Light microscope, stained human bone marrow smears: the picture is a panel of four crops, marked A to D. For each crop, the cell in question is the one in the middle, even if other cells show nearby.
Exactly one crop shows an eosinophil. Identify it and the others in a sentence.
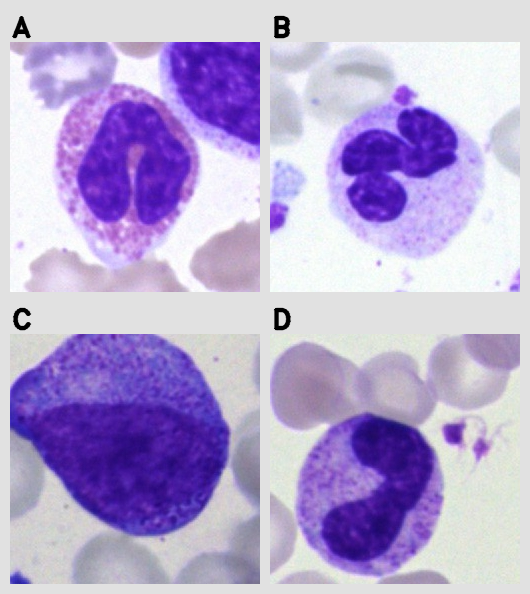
Crop A corresponds to an eosinophil, while crop B is a segmented neutrophil, crop C is a promyelocyte and crop D is a band neutrophil.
